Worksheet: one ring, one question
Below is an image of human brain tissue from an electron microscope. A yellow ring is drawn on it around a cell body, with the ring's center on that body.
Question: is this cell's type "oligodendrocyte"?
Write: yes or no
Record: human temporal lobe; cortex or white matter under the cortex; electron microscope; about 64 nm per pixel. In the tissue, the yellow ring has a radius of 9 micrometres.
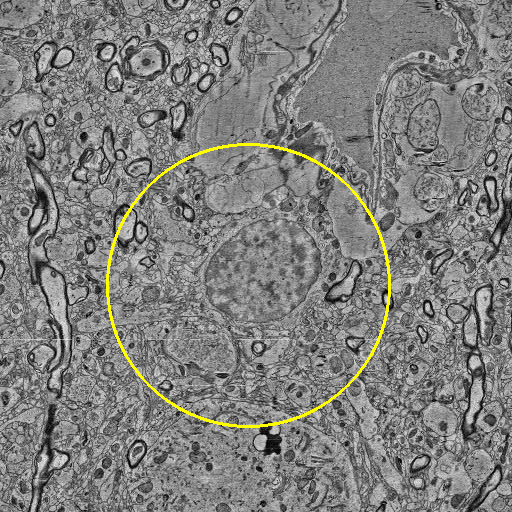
yes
